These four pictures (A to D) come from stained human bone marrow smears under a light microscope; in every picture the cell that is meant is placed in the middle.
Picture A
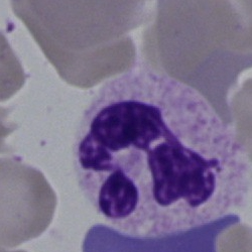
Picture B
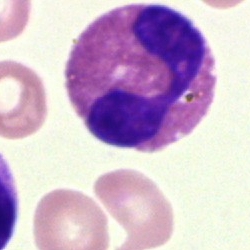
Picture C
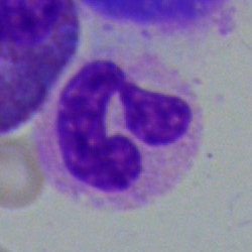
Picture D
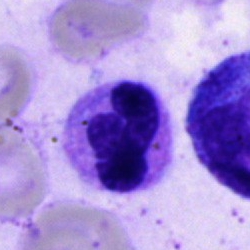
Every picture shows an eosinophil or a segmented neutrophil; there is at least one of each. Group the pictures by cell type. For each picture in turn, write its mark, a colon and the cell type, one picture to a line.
A: segmented neutrophil
B: eosinophil
C: segmented neutrophil
D: segmented neutrophil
